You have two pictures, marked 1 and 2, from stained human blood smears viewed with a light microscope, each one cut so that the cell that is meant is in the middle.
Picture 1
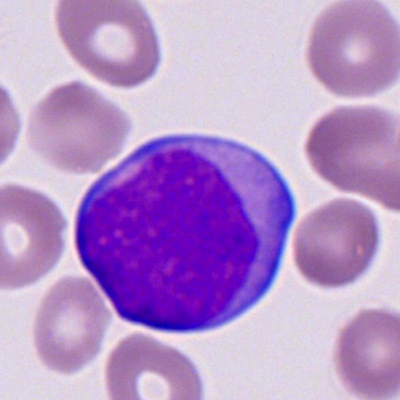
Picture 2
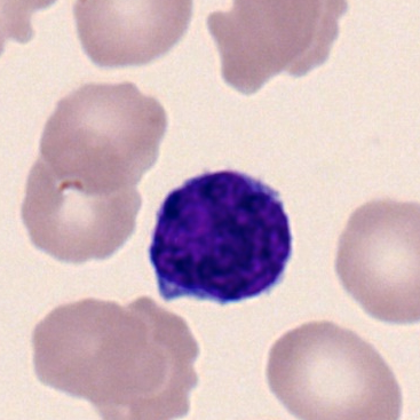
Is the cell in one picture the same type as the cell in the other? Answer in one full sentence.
No, they differ: the cell is a myeloblast in picture 1 and a lymphocyte in picture 2.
